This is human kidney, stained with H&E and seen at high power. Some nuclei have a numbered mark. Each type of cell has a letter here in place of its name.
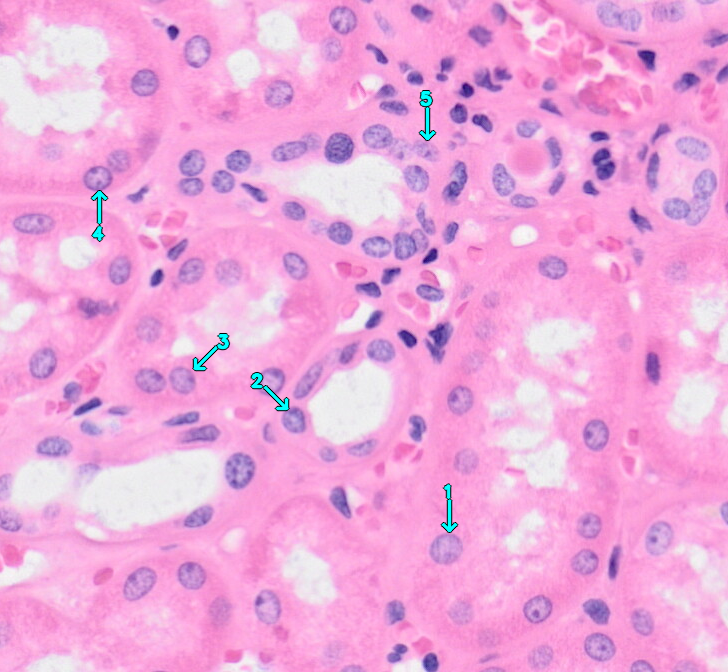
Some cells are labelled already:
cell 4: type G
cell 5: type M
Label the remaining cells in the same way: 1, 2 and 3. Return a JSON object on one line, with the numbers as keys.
{"1": "type G", "2": "type M", "3": "type G"}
